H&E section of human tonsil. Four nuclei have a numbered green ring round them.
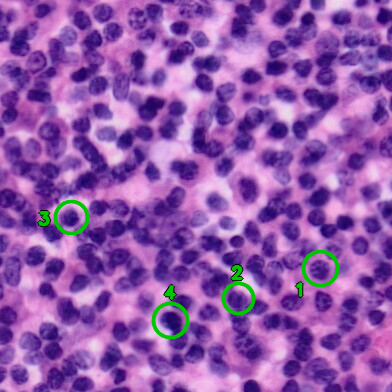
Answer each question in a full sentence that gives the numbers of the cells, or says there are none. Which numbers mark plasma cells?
The sole numbered cell that is a plasma cell is cell 1.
